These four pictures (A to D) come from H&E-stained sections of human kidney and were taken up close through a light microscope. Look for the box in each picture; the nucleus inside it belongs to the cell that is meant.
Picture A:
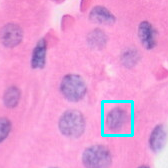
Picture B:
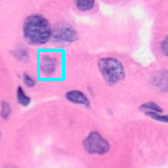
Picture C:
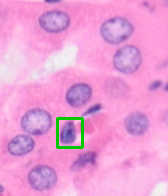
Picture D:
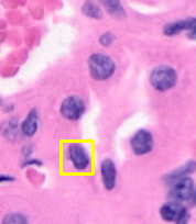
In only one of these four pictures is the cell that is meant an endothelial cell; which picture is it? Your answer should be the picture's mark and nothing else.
C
